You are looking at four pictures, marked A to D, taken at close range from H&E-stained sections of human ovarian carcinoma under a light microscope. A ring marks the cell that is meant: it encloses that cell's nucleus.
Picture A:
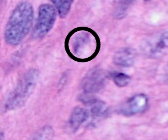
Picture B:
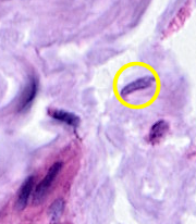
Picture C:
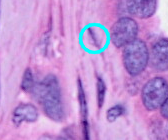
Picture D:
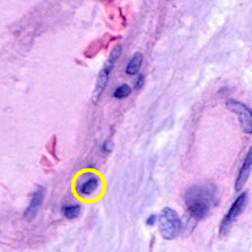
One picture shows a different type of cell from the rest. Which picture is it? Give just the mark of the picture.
D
